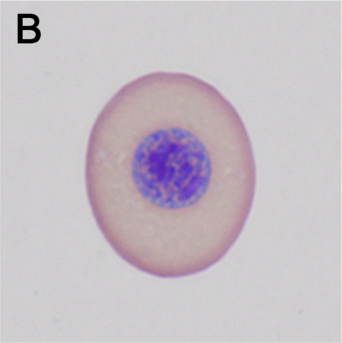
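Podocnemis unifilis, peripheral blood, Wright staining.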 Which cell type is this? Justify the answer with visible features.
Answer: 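Polycromatophil. Oval nucleated red cell, rounder than a mature one. Cytoplasm faintly greyish-tinged. Central round nucleus with loose chromatin.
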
